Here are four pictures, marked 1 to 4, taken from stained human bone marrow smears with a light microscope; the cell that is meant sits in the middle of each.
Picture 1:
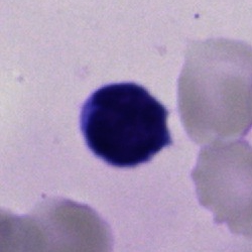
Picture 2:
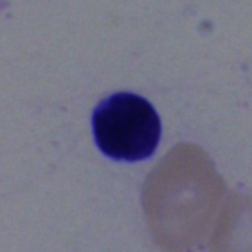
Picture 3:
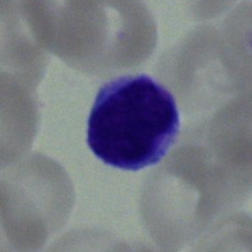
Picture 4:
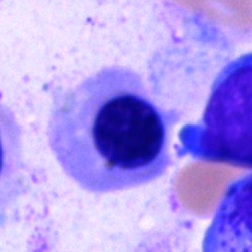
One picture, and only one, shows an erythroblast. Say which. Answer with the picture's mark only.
4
